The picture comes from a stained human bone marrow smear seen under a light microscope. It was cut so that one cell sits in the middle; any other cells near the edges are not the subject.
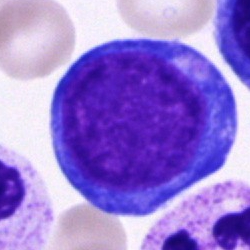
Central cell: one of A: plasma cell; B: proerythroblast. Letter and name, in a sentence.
At the centre of the crop lies a proerythroblast, which makes option B correct.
